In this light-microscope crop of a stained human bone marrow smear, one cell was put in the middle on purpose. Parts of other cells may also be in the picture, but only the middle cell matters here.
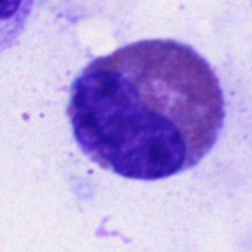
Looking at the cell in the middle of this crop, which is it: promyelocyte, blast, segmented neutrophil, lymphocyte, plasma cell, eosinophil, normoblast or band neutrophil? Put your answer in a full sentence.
Here the cell in the middle is an eosinophil.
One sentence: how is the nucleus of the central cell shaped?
If you check the nucleus, you will find one compact mass, round, oval or kidney-shaped.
